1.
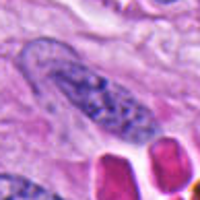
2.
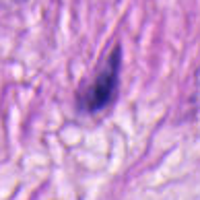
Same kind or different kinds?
Same: vascular myocytes.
